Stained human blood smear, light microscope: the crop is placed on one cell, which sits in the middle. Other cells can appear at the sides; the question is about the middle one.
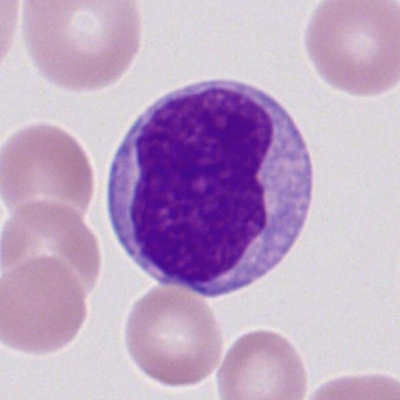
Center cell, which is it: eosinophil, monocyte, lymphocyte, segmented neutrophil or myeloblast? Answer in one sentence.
The centrally placed cell is classified as a monocyte.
